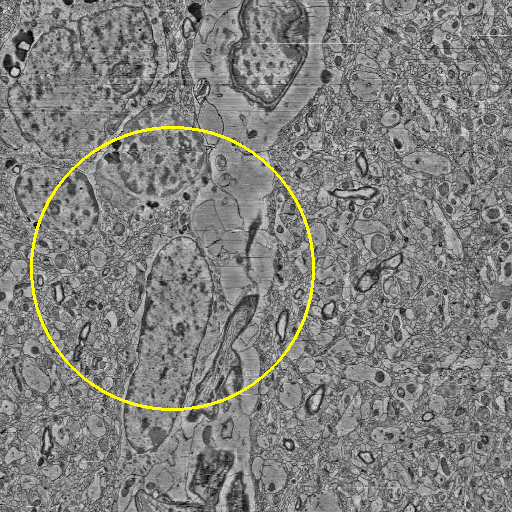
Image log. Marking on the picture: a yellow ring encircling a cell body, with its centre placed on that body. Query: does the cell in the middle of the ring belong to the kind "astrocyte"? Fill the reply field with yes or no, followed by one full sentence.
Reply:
No, the cell at the centre of the yellow ring in this picture belongs to a different kind.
